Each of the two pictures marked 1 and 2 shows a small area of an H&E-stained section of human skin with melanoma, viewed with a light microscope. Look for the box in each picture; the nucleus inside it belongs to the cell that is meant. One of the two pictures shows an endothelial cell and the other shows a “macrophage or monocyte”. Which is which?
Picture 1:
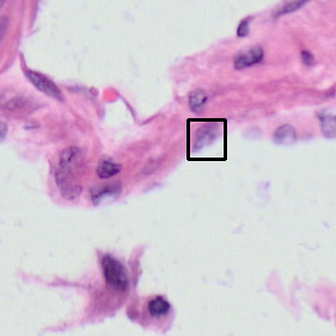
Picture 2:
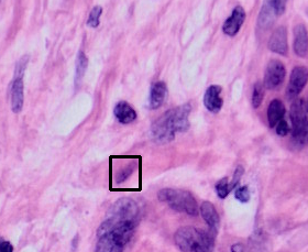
1: endothelial cell
2: macrophage or monocyte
